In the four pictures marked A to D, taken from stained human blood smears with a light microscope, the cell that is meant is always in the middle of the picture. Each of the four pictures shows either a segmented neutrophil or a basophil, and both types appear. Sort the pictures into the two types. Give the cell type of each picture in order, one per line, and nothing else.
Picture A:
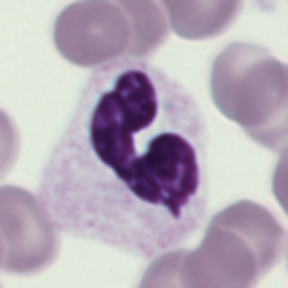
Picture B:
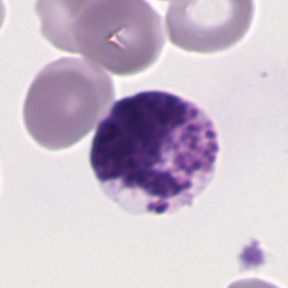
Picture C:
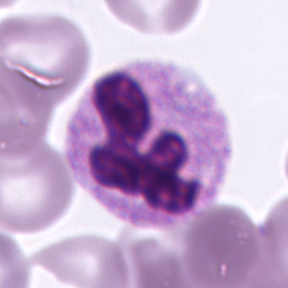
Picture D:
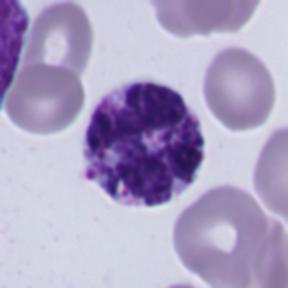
segmented neutrophil
basophil
segmented neutrophil
basophil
